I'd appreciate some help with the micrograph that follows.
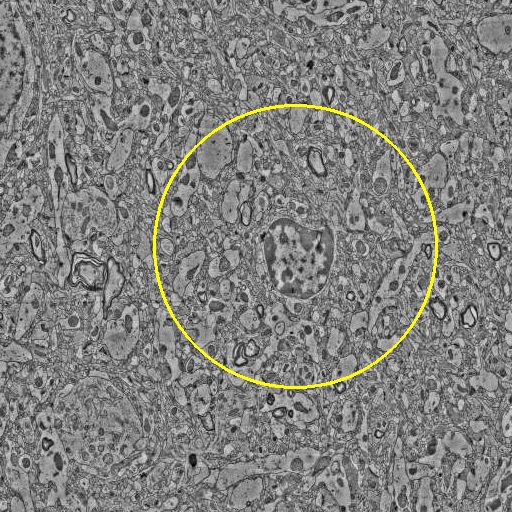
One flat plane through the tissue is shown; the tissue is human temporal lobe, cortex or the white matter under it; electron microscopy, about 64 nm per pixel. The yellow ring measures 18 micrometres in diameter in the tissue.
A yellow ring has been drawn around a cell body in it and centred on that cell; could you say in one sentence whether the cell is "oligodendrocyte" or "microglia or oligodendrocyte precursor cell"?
It is a microglial cell or oligodendrocyte precursor cell at the centre of the ring.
